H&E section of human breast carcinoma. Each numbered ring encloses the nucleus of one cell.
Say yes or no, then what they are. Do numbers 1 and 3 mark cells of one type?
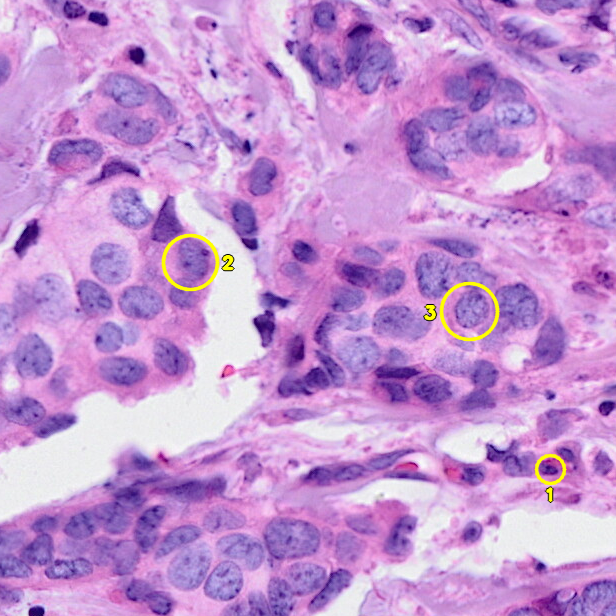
No, cell 1 is an endothelial cell and cell 3 is a carcinoma cell.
